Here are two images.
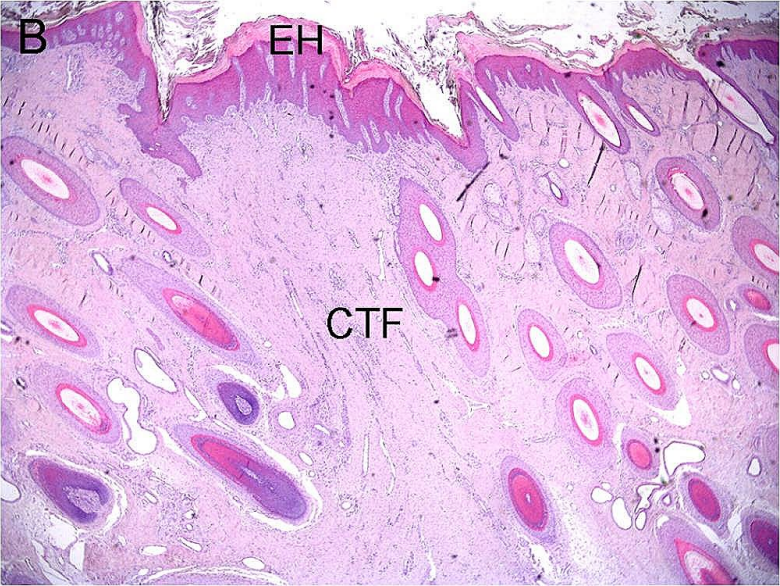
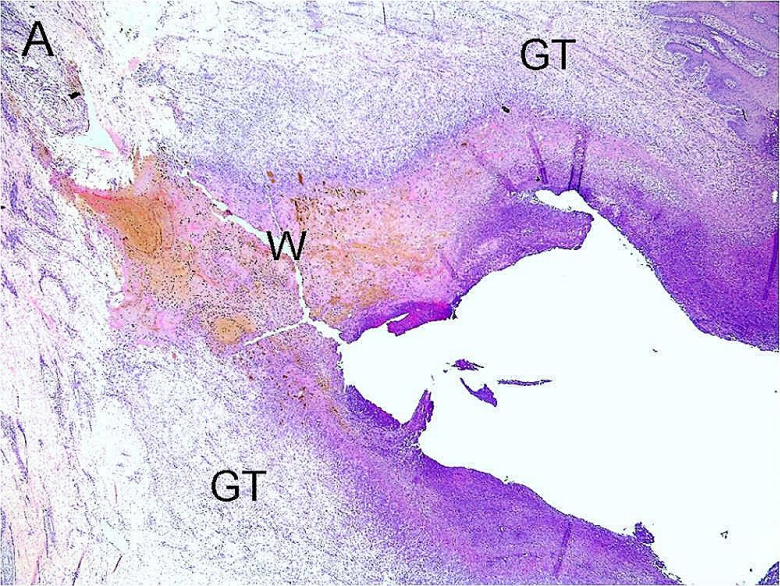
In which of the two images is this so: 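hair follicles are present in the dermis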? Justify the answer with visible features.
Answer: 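The first image. First image: many round epithelial follicle profiles with pink keratin cores lie throughout the dermis. Second image: no follicle profiles are seen; the tissue is a loose, cell-rich mass around a defect.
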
